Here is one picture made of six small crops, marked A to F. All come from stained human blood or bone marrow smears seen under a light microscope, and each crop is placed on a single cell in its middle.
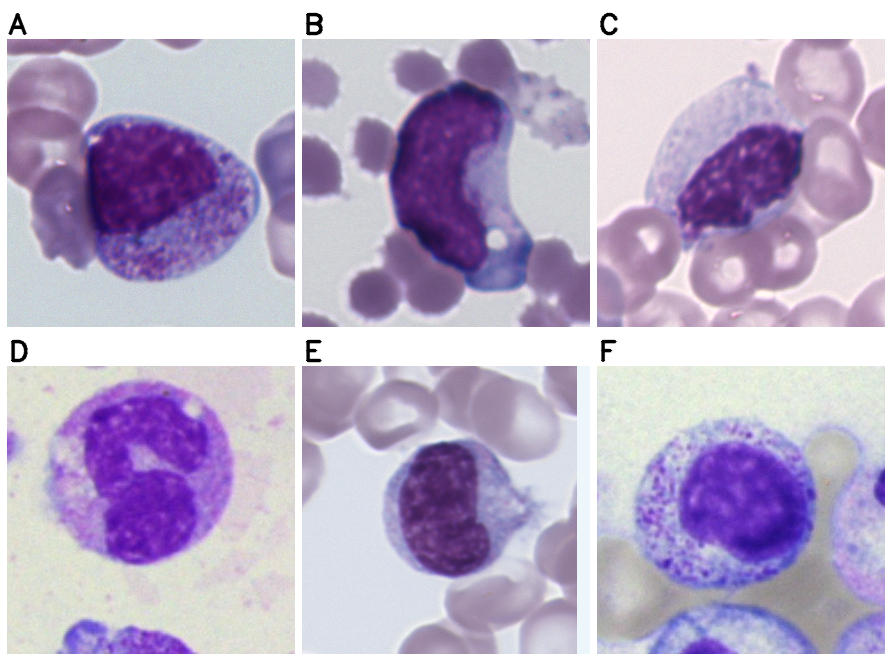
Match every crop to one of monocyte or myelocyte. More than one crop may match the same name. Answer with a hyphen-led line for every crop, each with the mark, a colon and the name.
- A: myelocyte
- B: monocyte
- C: monocyte
- D: monocyte
- E: monocyte
- F: myelocyte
